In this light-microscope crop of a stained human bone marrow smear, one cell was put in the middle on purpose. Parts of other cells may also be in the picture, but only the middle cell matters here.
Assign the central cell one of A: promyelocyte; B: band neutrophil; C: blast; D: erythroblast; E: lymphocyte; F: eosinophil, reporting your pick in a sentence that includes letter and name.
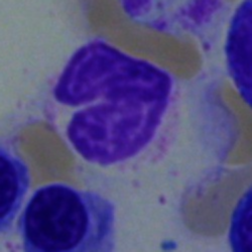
The cell in the middle is correctly identified as a band neutrophil in option B.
